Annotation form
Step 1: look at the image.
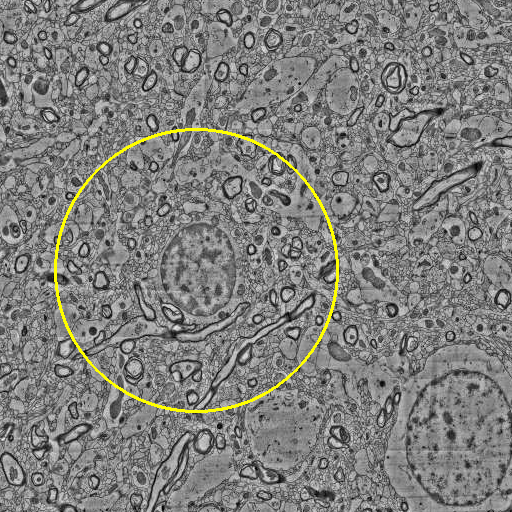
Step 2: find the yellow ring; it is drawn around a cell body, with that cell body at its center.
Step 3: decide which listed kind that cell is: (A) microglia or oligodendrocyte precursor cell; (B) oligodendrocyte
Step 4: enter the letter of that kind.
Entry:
B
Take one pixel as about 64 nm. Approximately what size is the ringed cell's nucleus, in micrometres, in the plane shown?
In this plane, the nucleus of the cell at the centre of the ring measures about 6 by 5 micrometres.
